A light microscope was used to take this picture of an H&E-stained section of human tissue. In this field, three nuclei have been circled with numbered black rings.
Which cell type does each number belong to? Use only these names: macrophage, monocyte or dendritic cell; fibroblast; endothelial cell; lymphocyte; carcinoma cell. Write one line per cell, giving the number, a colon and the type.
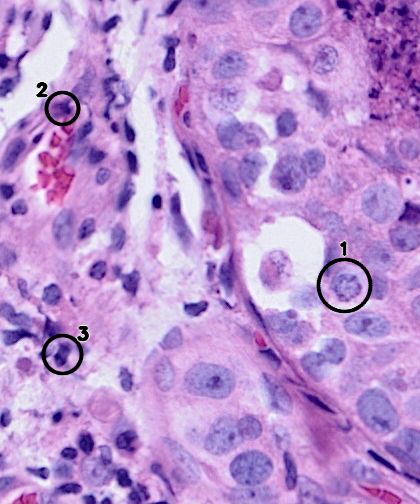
1: carcinoma cell
2: endothelial cell
3: lymphocyte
